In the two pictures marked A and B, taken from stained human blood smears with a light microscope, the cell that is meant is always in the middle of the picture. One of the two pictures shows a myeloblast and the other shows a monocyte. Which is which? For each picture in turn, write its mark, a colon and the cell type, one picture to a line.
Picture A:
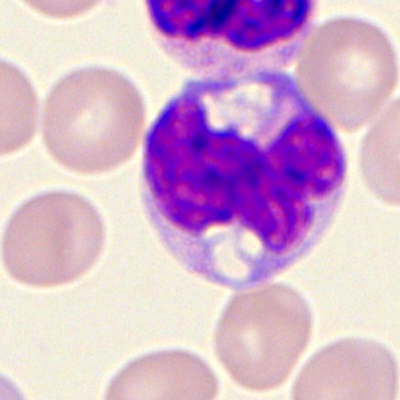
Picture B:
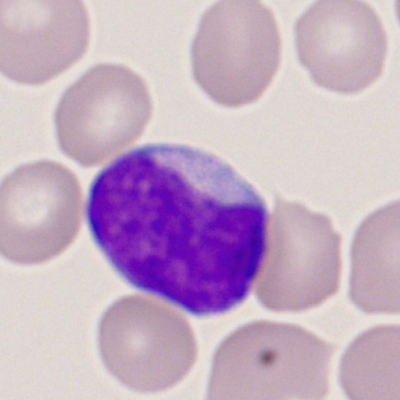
A: monocyte
B: myeloblast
